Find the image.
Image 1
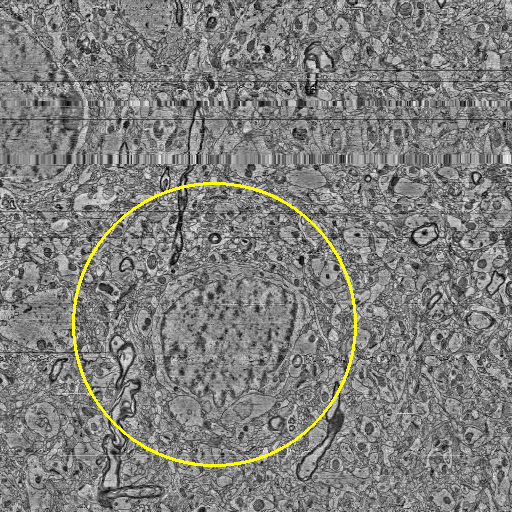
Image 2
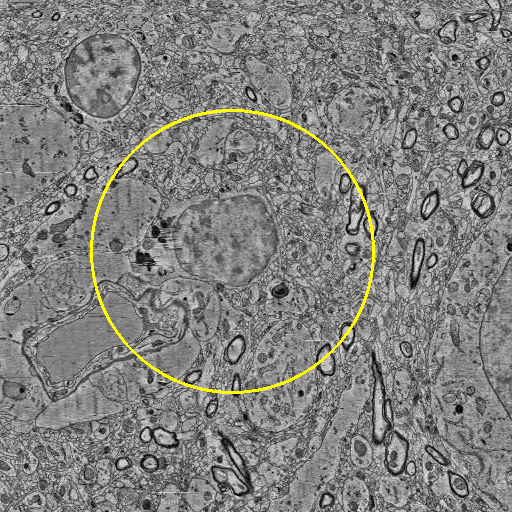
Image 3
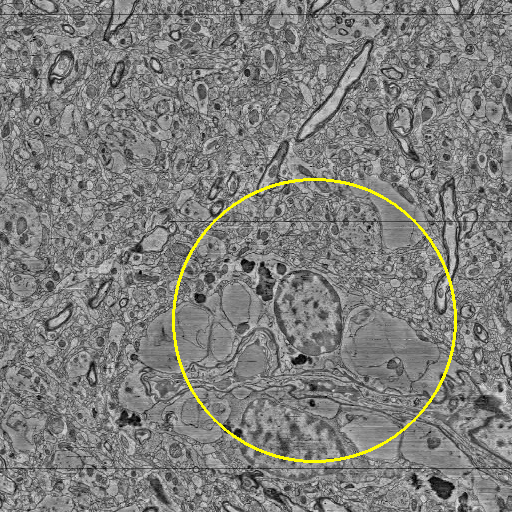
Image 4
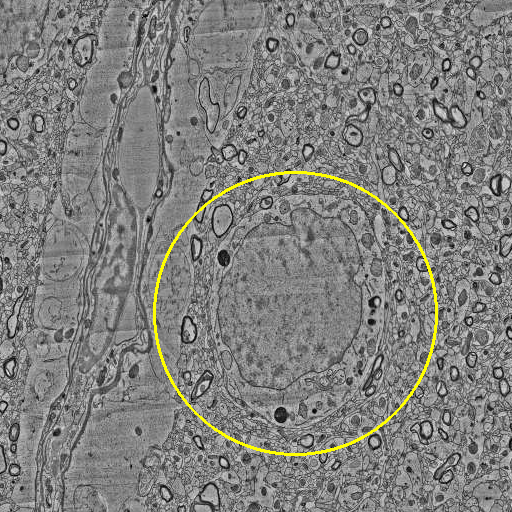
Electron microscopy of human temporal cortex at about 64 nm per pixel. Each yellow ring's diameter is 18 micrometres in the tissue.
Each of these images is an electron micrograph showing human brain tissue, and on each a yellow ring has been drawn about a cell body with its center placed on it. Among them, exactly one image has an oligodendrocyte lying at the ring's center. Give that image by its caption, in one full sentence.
The ring in Image 2 is centered on the cell the question describes.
